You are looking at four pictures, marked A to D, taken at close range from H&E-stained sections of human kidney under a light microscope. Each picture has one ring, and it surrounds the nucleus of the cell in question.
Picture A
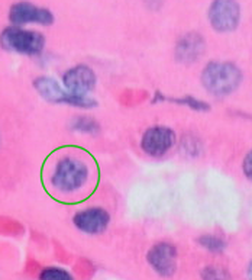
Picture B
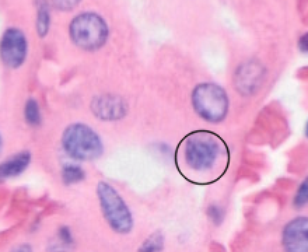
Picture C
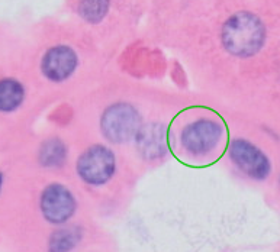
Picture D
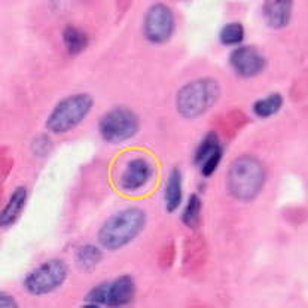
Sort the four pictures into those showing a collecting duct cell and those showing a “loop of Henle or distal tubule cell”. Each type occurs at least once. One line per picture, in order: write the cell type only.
loop of Henle or distal tubule cell
collecting duct cell
collecting duct cell
collecting duct cell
